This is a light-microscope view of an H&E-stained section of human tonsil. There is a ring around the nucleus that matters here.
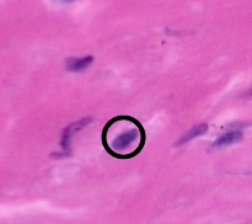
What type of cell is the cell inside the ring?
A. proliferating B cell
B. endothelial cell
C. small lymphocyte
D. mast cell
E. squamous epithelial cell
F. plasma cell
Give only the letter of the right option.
D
